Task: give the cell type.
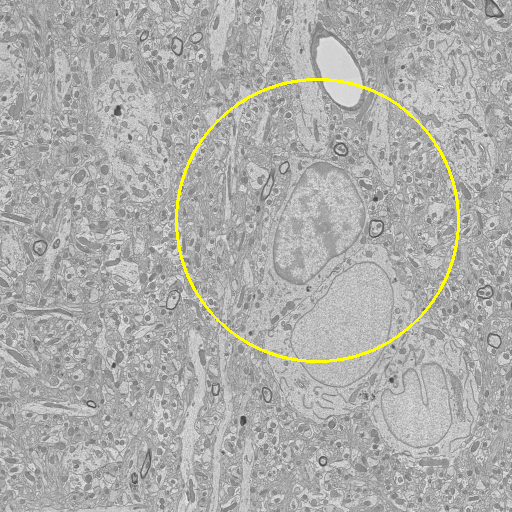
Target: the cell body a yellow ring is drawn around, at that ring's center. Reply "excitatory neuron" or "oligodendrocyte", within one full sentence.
In this picture, the cell whose body lies at the ring's center is an oligodendrocyte.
